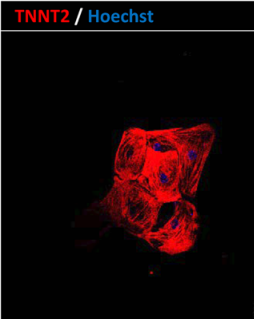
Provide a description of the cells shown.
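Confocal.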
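A small isolated cluster of cardiomyocytes lies on a dark background, their broad, flat cytoplasm filled with red and showing a fine fibrillar texture. A few blue nuclei sit within the red cell bodies.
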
